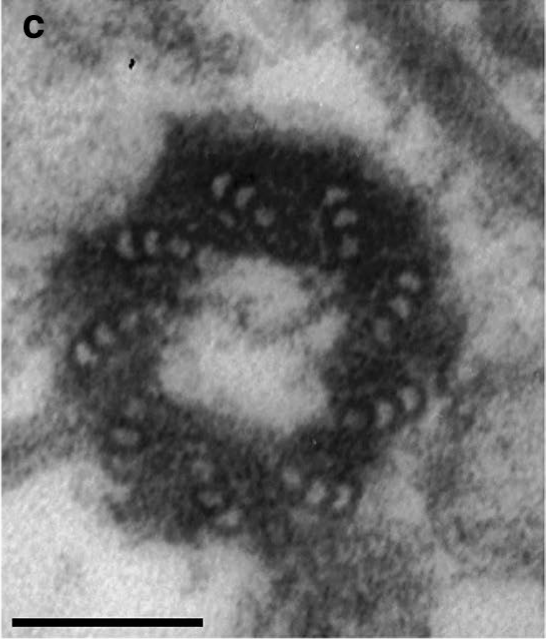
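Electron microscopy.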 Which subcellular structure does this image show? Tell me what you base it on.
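Centriole. A ring of microtubule groups in cross-section. The microtubules are set in a dense ring around a pale centre. About nine evenly spaced groups around the ring.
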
